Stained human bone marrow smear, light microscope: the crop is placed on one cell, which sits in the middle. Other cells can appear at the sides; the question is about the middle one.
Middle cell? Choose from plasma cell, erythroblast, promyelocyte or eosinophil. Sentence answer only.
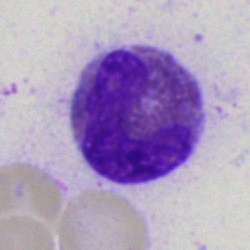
Present in the middle of the crop is an eosinophil.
